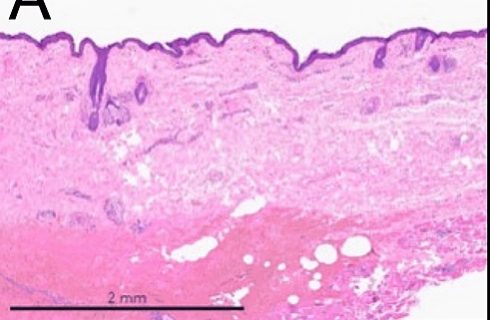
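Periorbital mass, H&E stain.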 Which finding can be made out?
Necrobiosis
